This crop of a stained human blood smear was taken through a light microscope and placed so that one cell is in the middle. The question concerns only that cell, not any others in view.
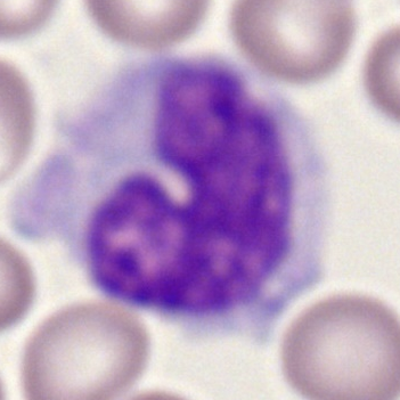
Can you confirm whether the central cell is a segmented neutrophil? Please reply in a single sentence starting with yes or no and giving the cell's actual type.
No, in the centre of the crop lies a monocyte, not a segmented neutrophil.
